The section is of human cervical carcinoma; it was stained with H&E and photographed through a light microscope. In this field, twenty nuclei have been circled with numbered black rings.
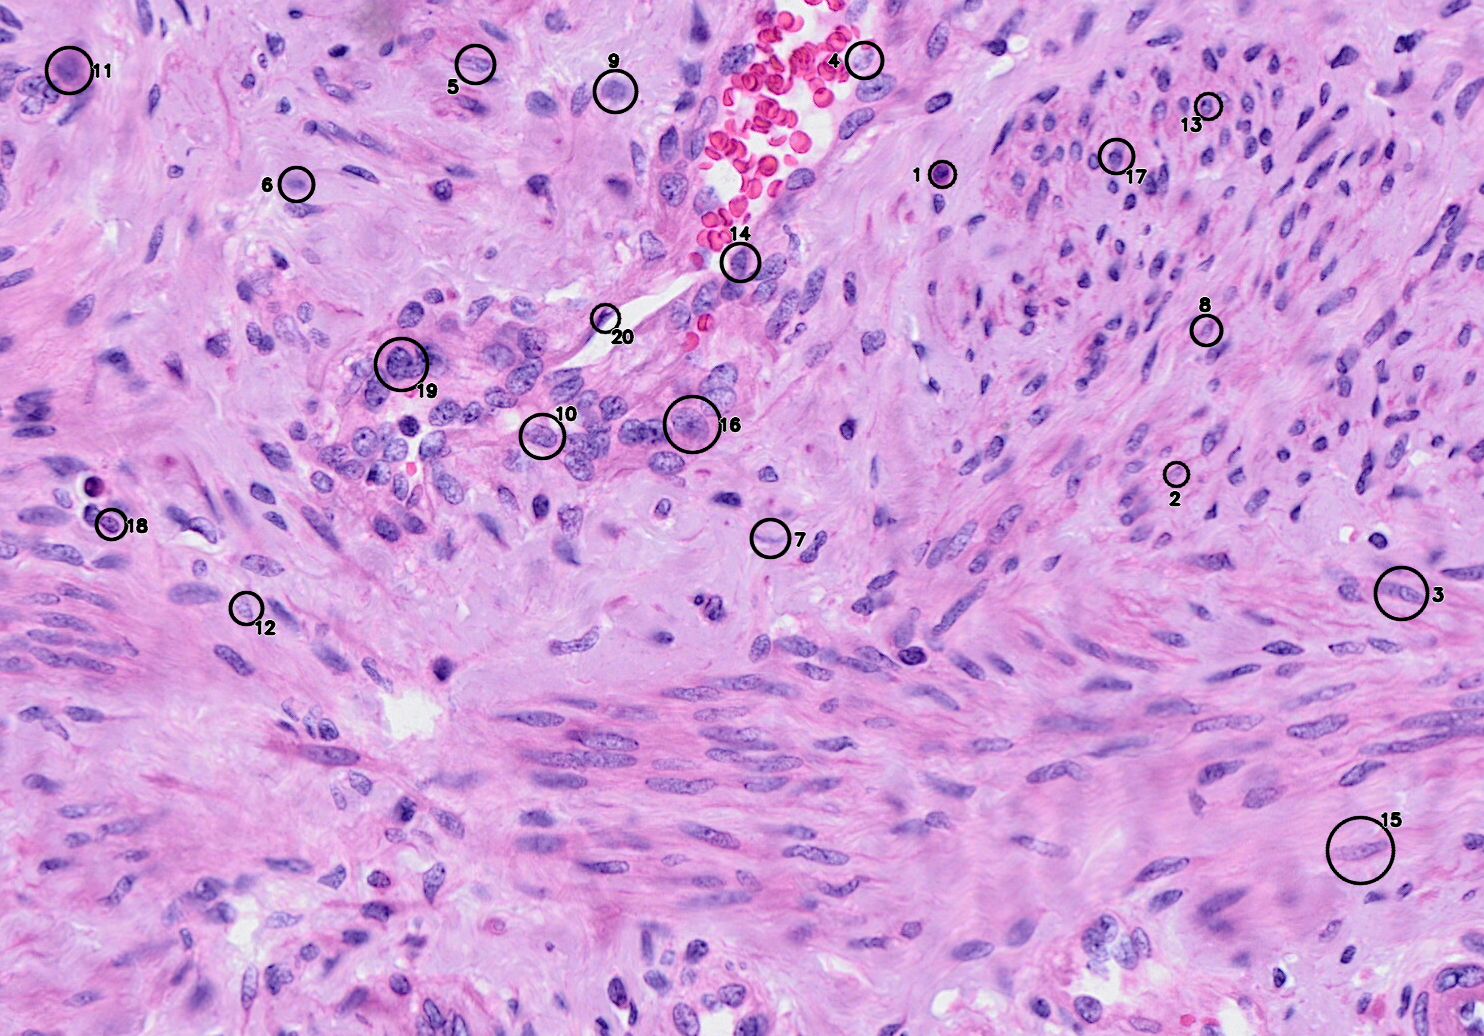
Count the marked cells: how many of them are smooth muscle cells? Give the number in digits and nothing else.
8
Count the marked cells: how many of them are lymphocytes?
1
